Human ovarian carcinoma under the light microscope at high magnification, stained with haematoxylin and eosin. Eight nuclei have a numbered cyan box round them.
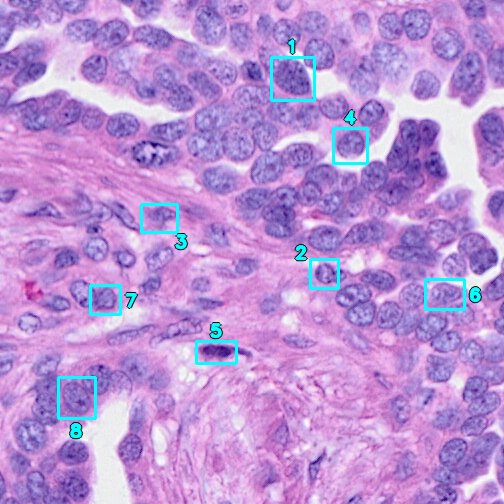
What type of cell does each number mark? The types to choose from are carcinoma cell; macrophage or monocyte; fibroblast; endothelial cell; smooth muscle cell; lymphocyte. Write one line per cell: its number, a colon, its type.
1: carcinoma cell
2: macrophage or monocyte
3: fibroblast
4: carcinoma cell
5: macrophage or monocyte
6: carcinoma cell
7: endothelial cell
8: carcinoma cell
